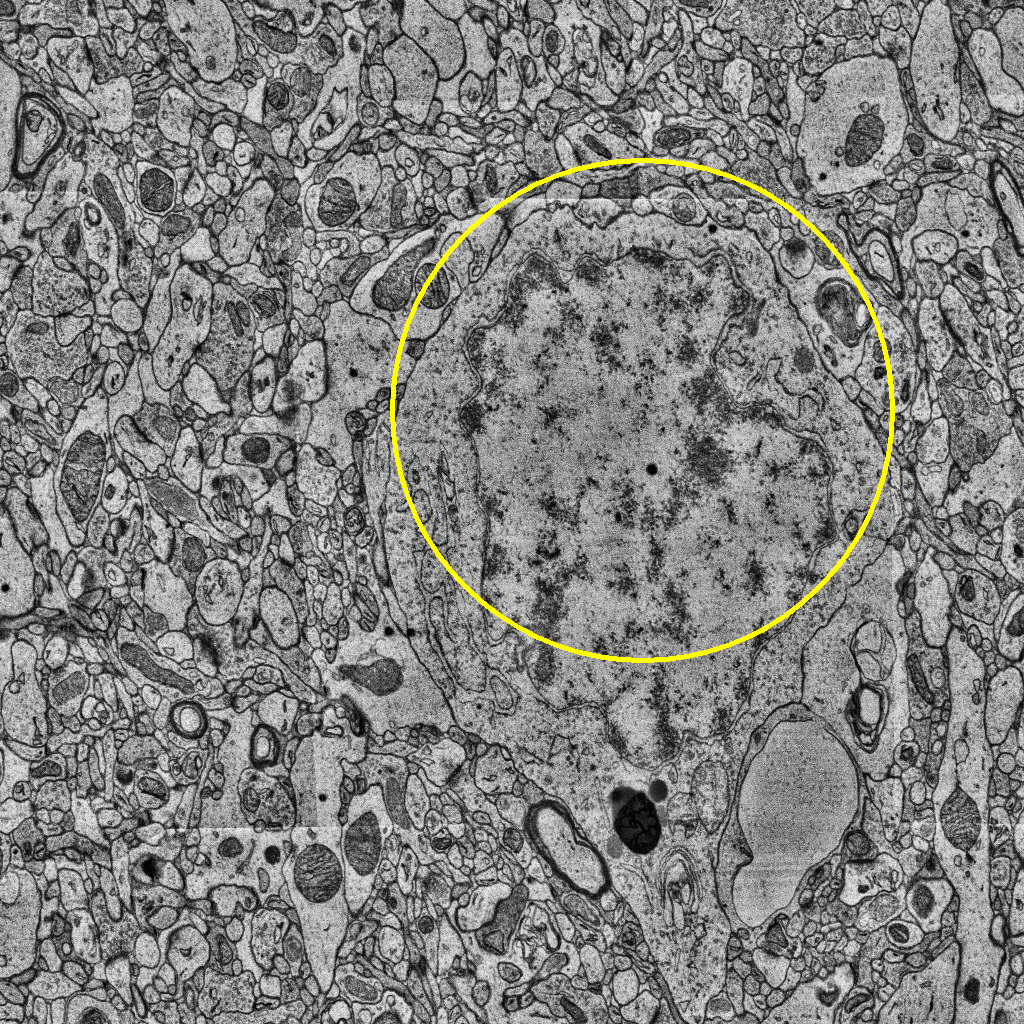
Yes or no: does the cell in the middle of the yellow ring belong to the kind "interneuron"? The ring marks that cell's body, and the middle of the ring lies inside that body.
yes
